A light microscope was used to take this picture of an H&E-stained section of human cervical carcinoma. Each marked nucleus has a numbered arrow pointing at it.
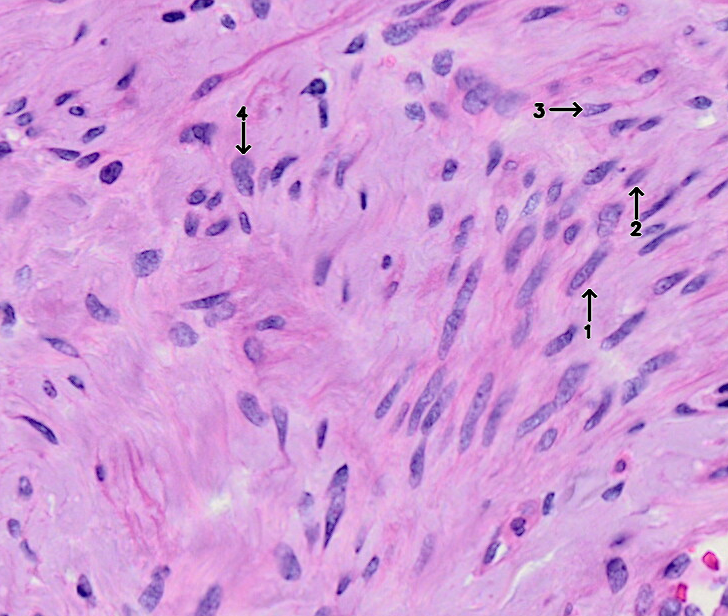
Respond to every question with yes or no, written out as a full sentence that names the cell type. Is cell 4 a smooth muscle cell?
No, the cell under number 4 is a fibroblast instead of a smooth muscle cell.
